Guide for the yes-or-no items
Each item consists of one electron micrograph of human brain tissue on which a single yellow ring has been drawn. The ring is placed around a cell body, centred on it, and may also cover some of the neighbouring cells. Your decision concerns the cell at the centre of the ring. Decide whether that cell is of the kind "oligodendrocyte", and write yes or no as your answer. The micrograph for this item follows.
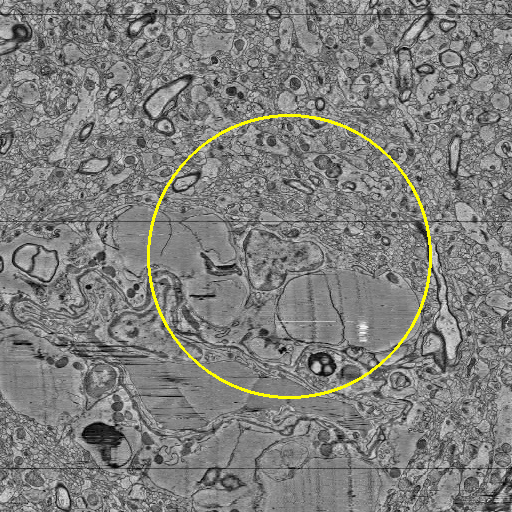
no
